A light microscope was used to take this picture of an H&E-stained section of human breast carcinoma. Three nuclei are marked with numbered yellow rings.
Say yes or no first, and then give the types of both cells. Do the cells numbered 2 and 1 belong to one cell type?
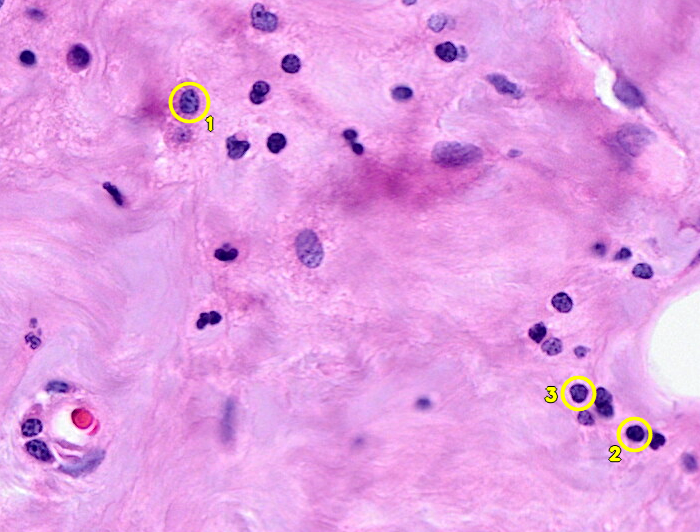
No, cell 2 is a lymphocyte, and cell 1 is, by contrast, a mast cell.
